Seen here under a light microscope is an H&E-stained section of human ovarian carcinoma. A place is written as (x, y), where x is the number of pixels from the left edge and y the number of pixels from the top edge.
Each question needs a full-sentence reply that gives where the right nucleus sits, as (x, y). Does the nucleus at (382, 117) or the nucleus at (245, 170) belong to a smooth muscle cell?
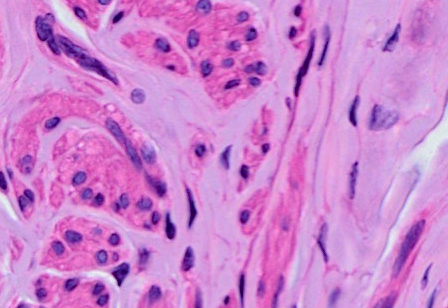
The nucleus that belongs to a smooth muscle cell is located at (245, 170).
